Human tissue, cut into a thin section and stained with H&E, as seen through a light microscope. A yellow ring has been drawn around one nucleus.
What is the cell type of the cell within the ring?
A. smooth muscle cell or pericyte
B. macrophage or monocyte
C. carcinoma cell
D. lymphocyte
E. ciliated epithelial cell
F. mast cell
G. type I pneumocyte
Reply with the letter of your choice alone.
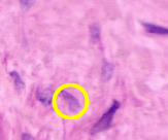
A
